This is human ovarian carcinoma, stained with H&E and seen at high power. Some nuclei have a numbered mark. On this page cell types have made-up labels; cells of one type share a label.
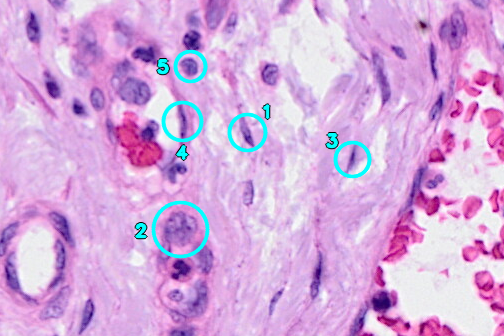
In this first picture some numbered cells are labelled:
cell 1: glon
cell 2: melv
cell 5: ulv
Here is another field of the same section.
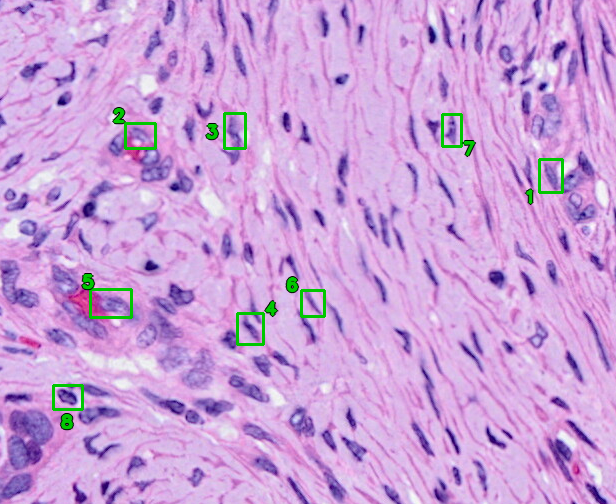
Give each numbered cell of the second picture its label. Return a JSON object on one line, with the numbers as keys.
{"1": "glon", "2": "melv", "3": "glon", "4": "glon", "5": "melv", "6": "glon", "7": "glon", "8": "ulv"}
